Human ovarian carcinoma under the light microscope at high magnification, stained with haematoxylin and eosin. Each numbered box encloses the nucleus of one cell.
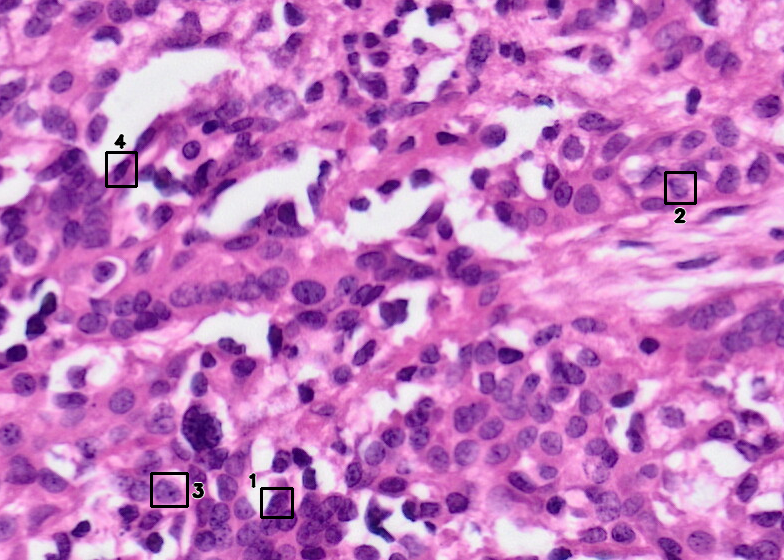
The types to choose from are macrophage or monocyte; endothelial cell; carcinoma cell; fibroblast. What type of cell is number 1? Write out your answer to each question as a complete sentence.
Marked with the number 1, this cell is a carcinoma cell.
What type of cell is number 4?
The cell referenced by the number 4 is a carcinoma cell in this field.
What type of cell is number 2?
In the tissue shown, cell 2 is a macrophage or monocyte.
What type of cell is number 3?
The marked cell with the number 3 is recognised as a macrophage or monocyte.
